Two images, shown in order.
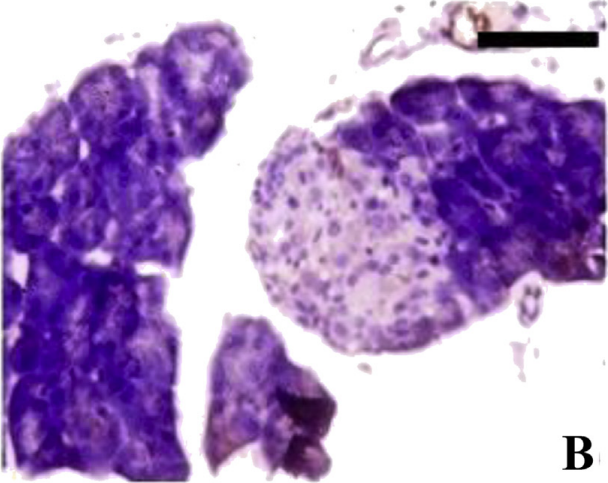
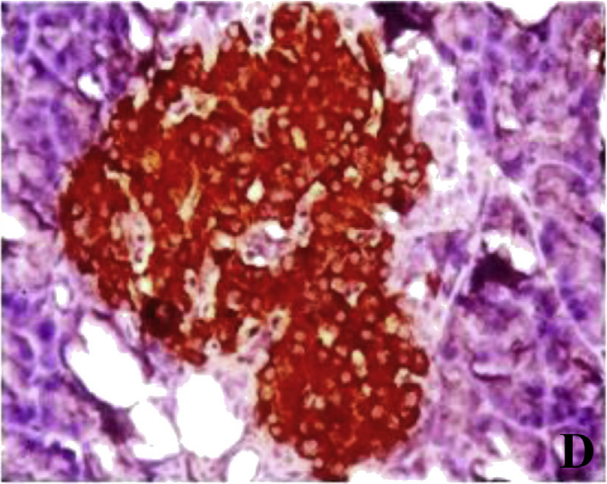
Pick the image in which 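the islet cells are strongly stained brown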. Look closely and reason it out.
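The second image. First image: the islet is pale with almost no brown stain. Second image: the islet is filled with intense dark brown stain.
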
